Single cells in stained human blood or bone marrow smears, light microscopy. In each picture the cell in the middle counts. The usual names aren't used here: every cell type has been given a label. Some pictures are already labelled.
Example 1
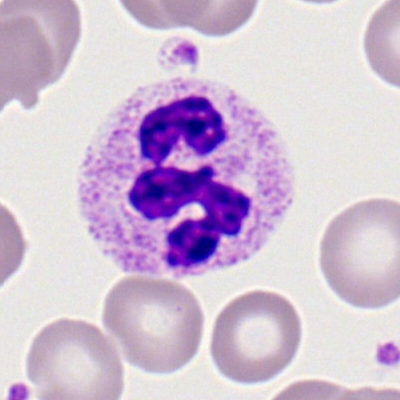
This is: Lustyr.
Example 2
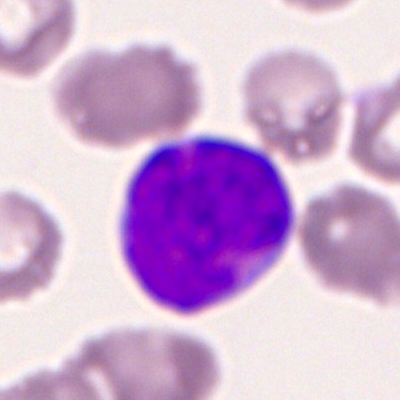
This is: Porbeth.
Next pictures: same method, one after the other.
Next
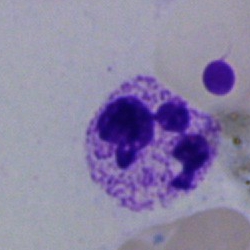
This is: Lustyr.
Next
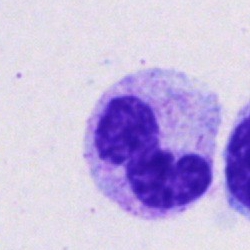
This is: Lustyr.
